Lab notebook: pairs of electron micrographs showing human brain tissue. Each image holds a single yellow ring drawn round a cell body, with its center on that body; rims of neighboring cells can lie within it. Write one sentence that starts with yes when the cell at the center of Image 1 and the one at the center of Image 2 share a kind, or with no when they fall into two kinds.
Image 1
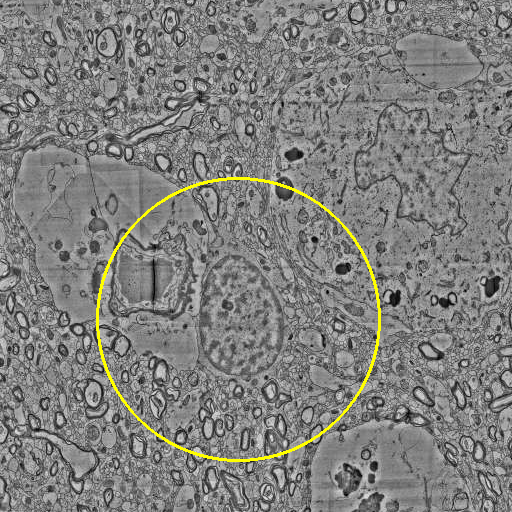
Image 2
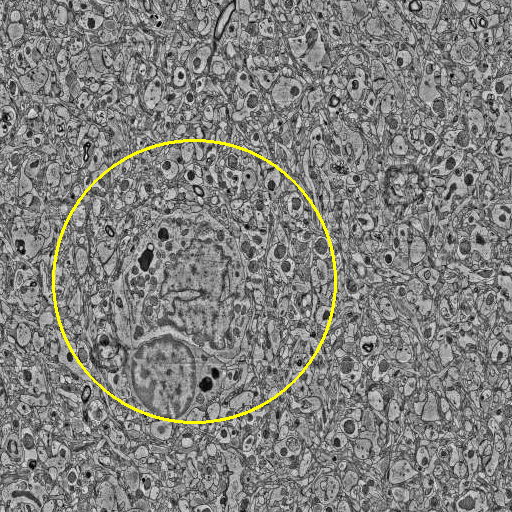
No, the centered cell in Image 1 and the centered cell in Image 2 are of two kinds.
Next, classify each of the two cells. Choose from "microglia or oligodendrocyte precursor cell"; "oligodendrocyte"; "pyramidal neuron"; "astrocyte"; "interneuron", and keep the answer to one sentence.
In the first picture it is an oligodendrocyte; in the second it is an interneuron.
